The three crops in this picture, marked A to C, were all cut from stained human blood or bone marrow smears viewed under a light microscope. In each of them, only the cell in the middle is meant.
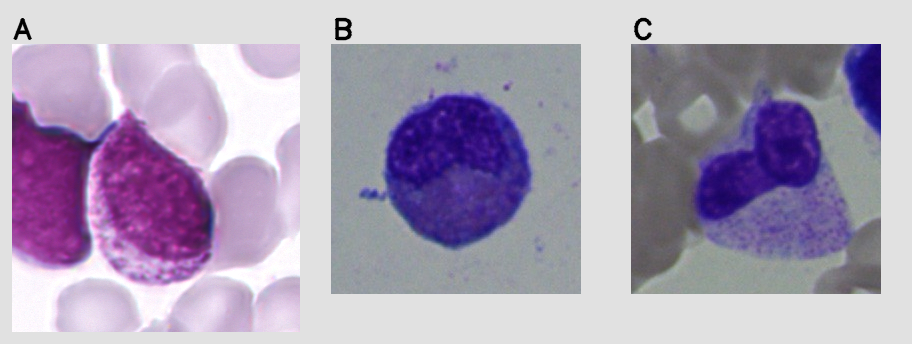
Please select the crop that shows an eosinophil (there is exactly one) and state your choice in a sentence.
Of these crops, it is crop B that shows an eosinophil.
